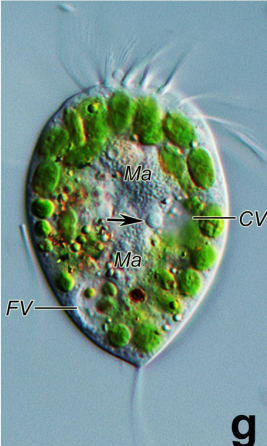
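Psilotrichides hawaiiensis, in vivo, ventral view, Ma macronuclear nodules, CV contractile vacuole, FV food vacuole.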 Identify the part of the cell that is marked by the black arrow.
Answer: micronucleus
